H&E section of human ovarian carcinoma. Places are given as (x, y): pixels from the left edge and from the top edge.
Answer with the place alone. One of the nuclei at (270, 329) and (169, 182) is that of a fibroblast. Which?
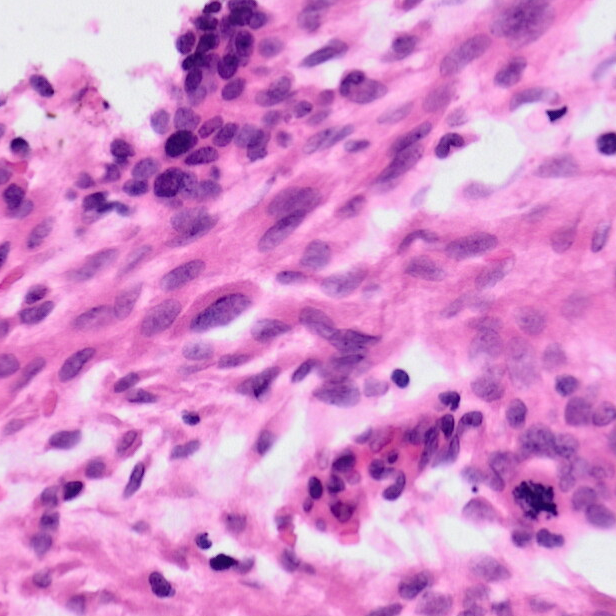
(270, 329)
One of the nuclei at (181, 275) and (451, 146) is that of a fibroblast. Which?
(181, 275)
